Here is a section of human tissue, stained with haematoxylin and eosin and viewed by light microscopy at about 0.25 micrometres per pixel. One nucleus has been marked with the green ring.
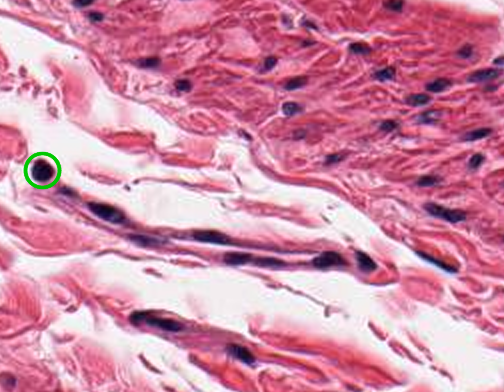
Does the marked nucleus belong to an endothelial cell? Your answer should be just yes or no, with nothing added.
no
